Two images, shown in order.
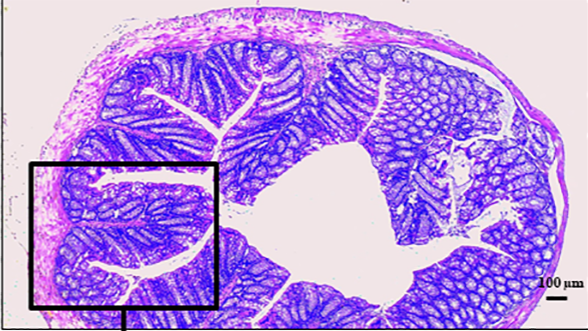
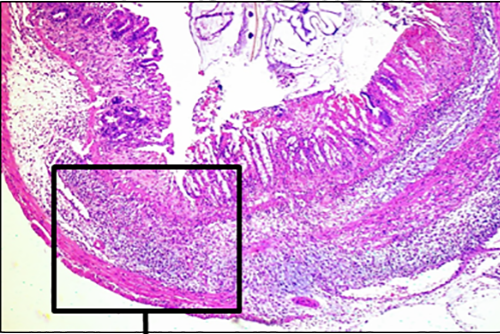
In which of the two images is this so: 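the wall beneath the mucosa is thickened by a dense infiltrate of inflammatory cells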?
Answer: The second image.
